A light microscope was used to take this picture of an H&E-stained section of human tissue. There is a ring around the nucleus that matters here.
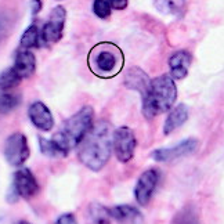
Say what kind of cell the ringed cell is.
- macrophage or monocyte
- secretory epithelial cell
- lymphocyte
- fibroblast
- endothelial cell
lymphocyte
